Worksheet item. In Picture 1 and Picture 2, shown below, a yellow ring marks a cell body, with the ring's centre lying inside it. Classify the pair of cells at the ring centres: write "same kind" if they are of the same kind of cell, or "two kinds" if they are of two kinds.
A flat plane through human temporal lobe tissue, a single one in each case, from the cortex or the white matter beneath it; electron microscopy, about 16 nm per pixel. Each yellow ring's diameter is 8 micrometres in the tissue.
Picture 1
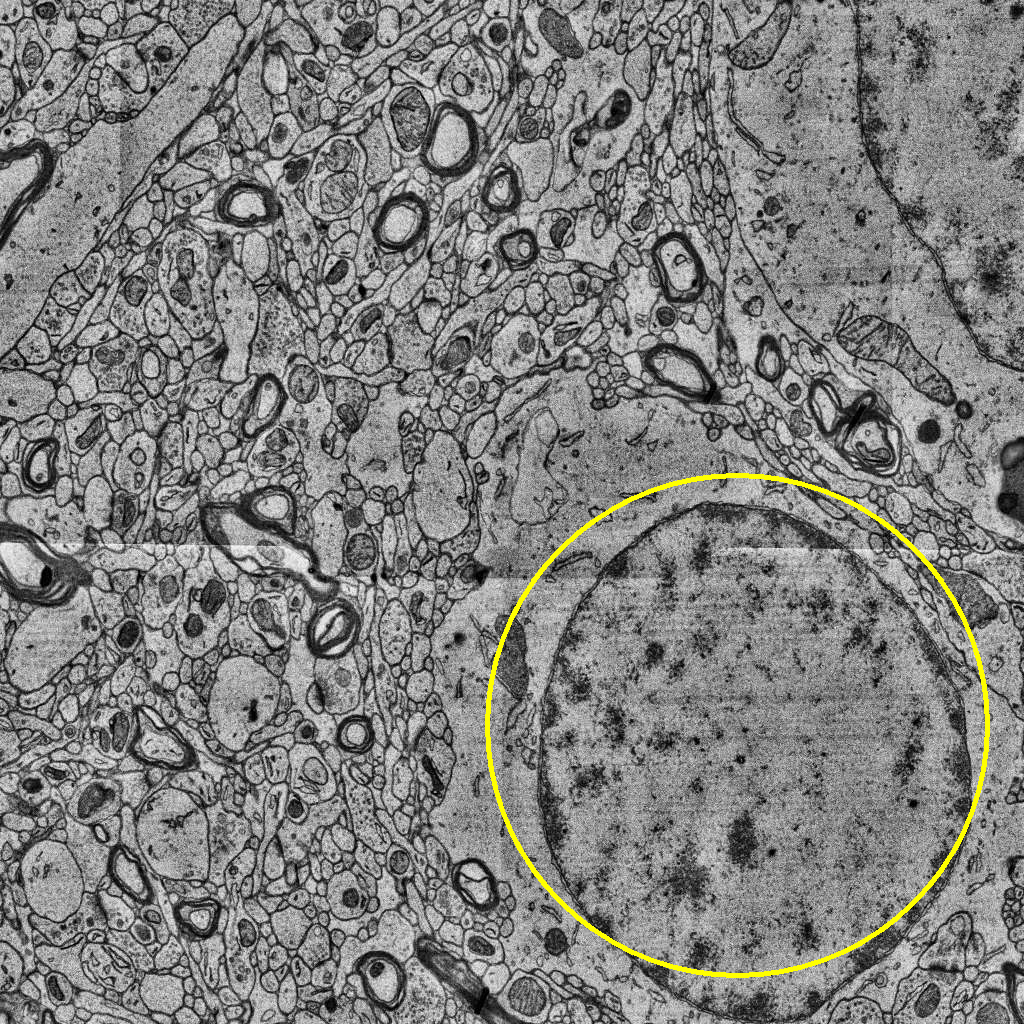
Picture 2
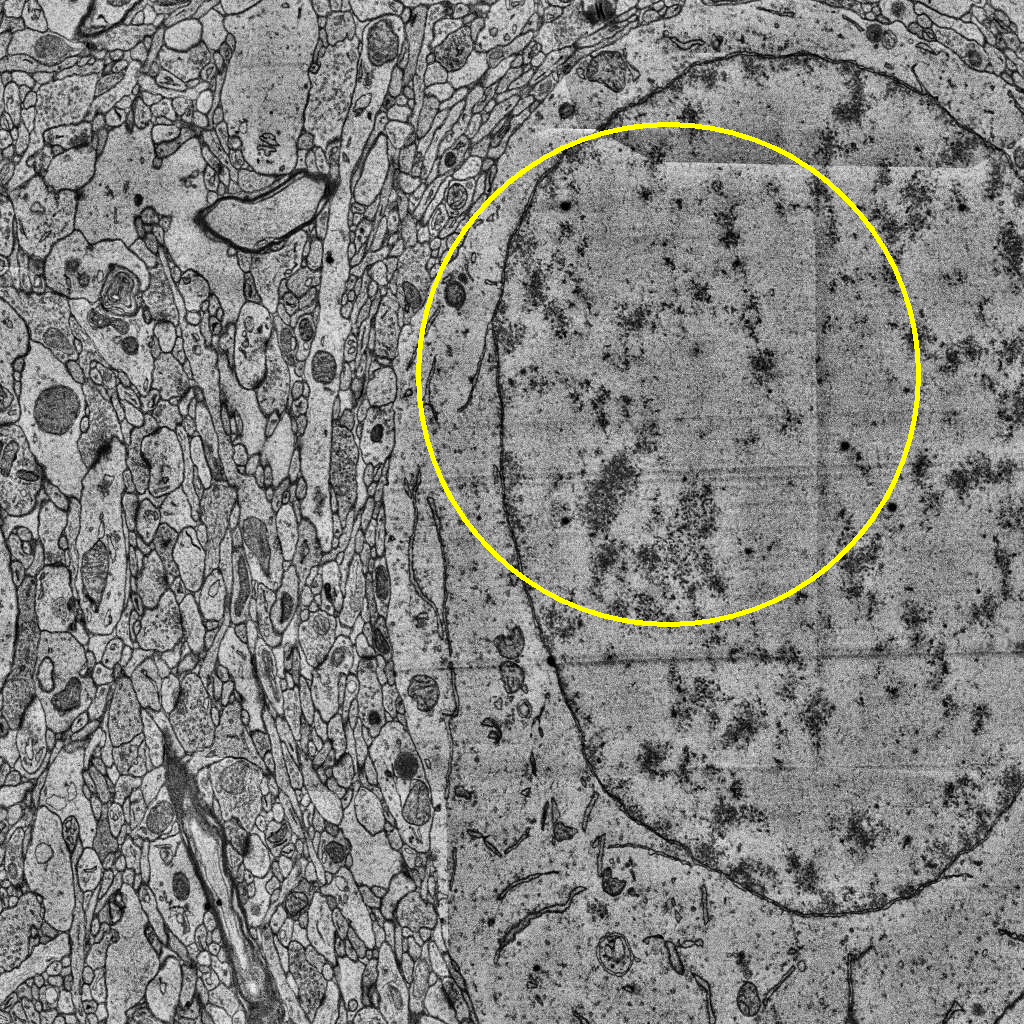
two kinds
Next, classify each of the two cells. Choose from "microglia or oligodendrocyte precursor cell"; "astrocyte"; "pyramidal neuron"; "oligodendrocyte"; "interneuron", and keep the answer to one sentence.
The first picture's cell is an astrocyte, and the second picture's cell is a pyramidal neuron.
